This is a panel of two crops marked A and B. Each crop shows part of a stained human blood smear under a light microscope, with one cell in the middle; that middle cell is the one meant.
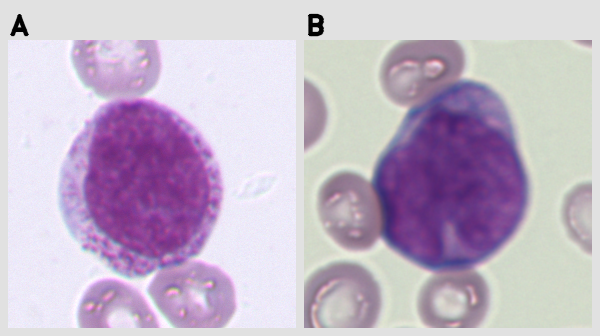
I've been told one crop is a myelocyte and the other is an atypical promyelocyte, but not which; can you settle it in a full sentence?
Whereas crop A contains a myelocyte, crop B contains an atypical promyelocyte.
